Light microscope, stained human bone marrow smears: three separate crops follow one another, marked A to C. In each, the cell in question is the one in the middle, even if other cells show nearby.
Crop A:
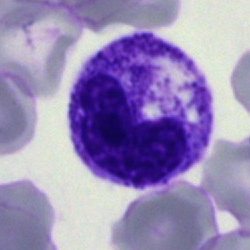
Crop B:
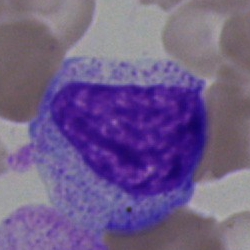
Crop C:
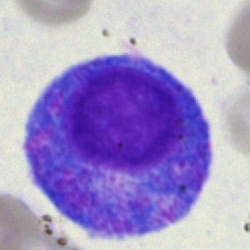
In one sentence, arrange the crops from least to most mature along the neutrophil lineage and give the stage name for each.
Maturation proceeds in the order crop C (a promyelocyte), crop B (a myelocyte) and crop A (a metamyelocyte).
